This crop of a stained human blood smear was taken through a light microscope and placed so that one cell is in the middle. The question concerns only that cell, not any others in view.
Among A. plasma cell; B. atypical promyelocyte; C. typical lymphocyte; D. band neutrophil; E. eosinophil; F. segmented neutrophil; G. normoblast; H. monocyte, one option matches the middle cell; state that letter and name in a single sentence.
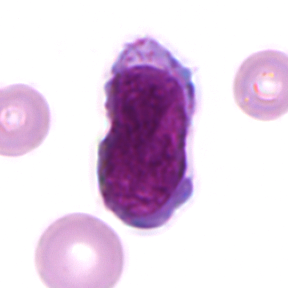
Option B is right in identifying the central cell as an atypical promyelocyte.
